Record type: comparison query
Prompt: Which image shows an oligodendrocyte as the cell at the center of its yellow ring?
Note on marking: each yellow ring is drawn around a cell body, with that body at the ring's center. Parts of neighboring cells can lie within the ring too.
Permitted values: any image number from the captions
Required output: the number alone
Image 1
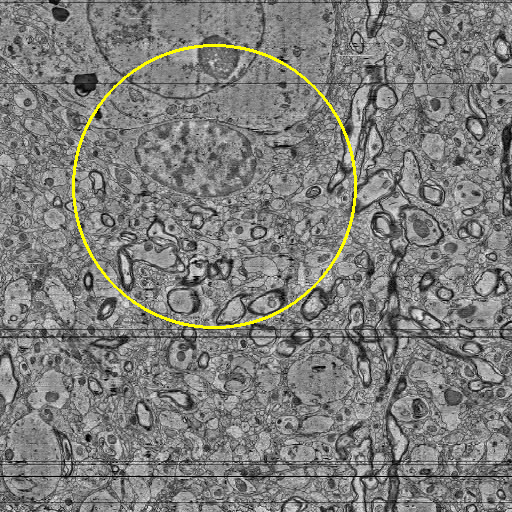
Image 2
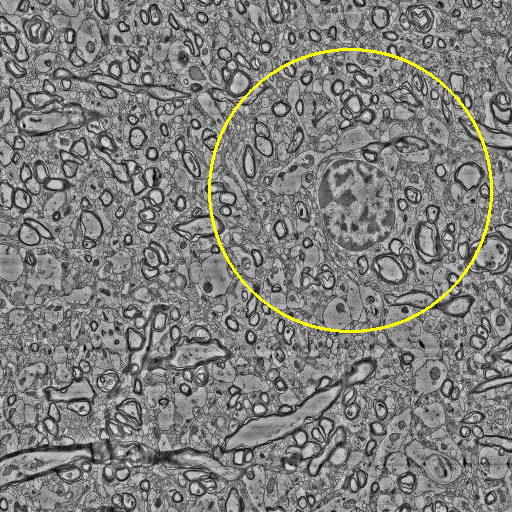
1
